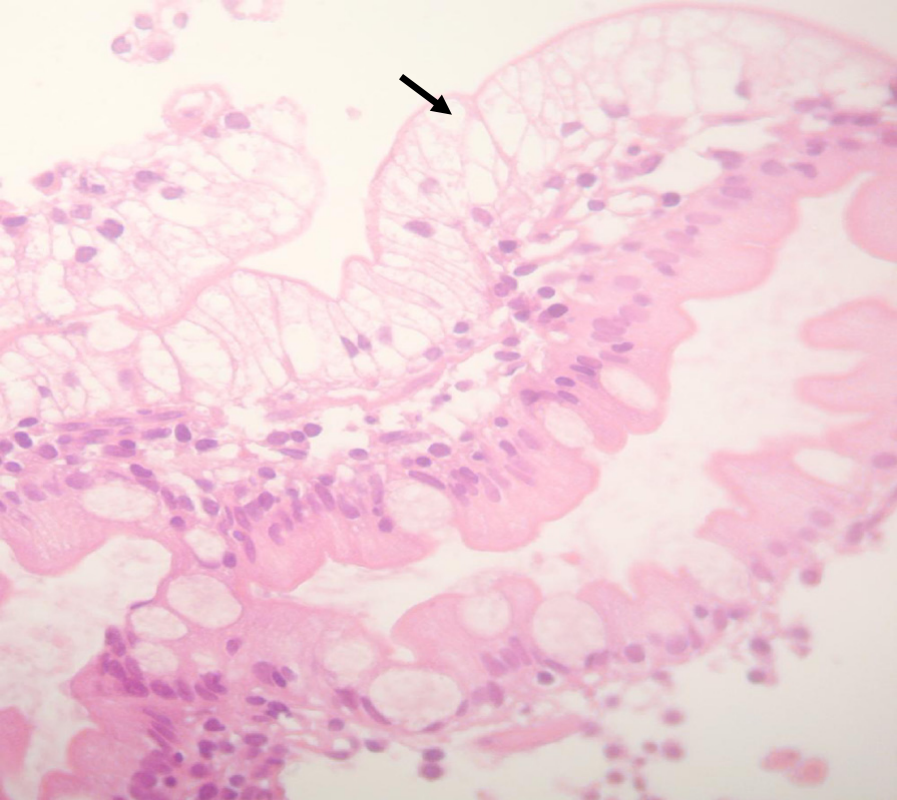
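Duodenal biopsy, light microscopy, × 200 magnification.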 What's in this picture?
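Small-intestinal villi lined by enterocytes, with a cluster of vacuolated enterocytes at a villus tip. These tip cells are swollen, with pale, clear cytoplasm crossed by fine pink strands, and their small nuclei lie toward the cell bases. Farther down the villus, the enterocytes are tall columnar cells with solid pink cytoplasm, a pink surface border and oval basal nuclei. Goblet cells with rounded, pale mucin vacuoles are scattered among them. A thin core of lamina propria with scattered nuclei runs beneath the epithelium.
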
